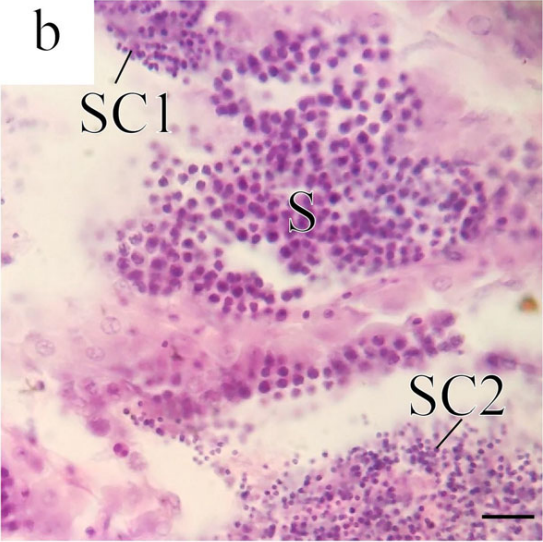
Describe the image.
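Testis section with several germ cell kinds side by side. Nests of spermatogonia occupy the centre: rounded cells with large, round purple nuclei and little pink cytoplasm, in crowded groups. At the upper left lies a group of somewhat smaller, densely stained primary spermatocytes. At the lower right lies a broad field of secondary spermatocytes, many tiny dark round nuclei closely scattered in a pinkish matrix. Between the cell groups runs pale pink connective tissue holding larger cells with pale, round nuclei and visible nucleoli.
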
